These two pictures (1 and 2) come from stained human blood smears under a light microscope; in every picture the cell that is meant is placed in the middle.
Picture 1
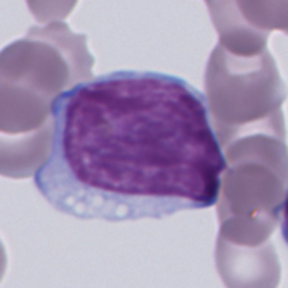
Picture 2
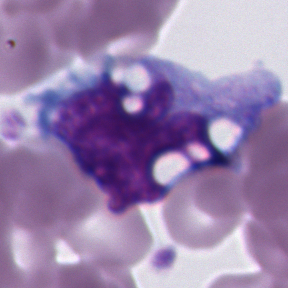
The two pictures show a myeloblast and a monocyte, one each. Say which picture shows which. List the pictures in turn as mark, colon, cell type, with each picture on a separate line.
1: myeloblast
2: monocyte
